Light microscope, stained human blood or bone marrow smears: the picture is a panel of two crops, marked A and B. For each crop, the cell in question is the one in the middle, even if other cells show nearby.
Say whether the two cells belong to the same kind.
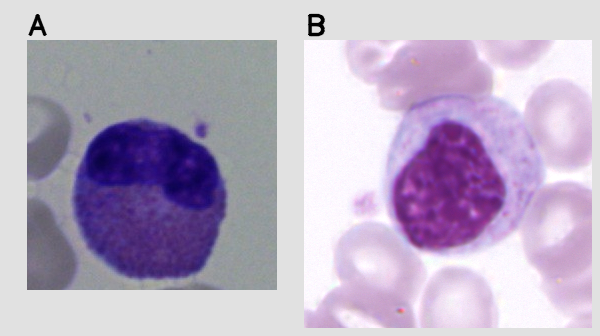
no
